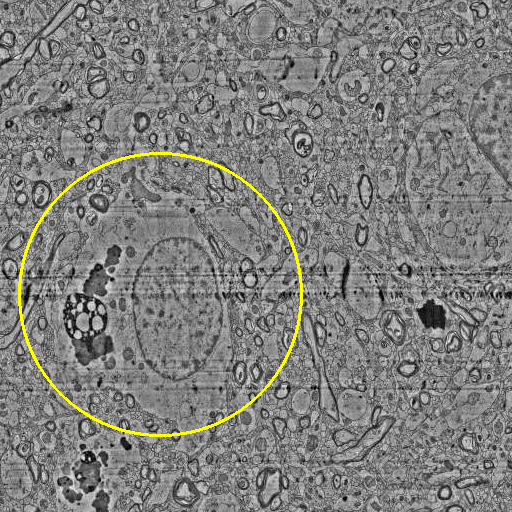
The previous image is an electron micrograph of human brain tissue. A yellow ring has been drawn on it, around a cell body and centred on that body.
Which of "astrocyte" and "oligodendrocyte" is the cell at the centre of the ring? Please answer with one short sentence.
The cell body at the centre of the ring belongs to an astrocyte.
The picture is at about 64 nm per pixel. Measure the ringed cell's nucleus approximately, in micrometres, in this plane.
The nucleus comes to approximately 9 by 6 micrometres and is clearly longer than it is wide in this plane.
